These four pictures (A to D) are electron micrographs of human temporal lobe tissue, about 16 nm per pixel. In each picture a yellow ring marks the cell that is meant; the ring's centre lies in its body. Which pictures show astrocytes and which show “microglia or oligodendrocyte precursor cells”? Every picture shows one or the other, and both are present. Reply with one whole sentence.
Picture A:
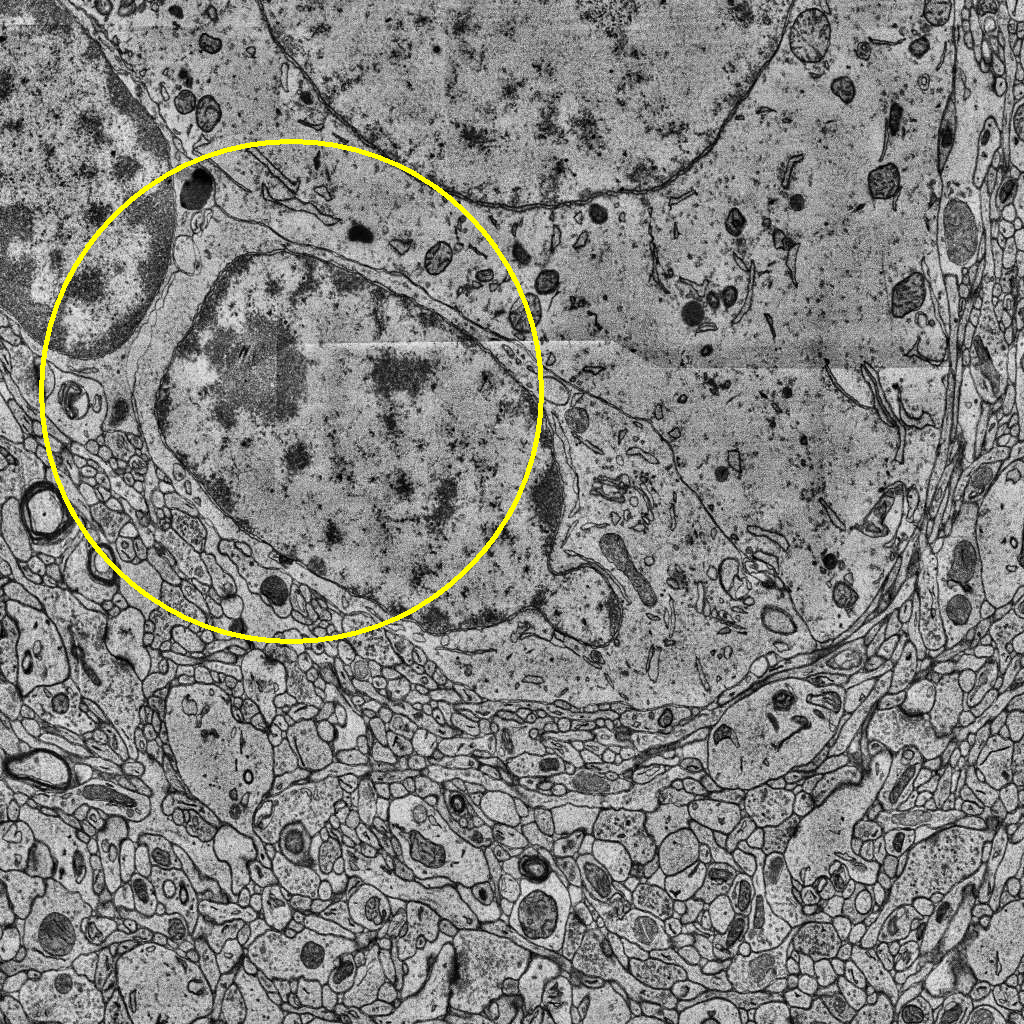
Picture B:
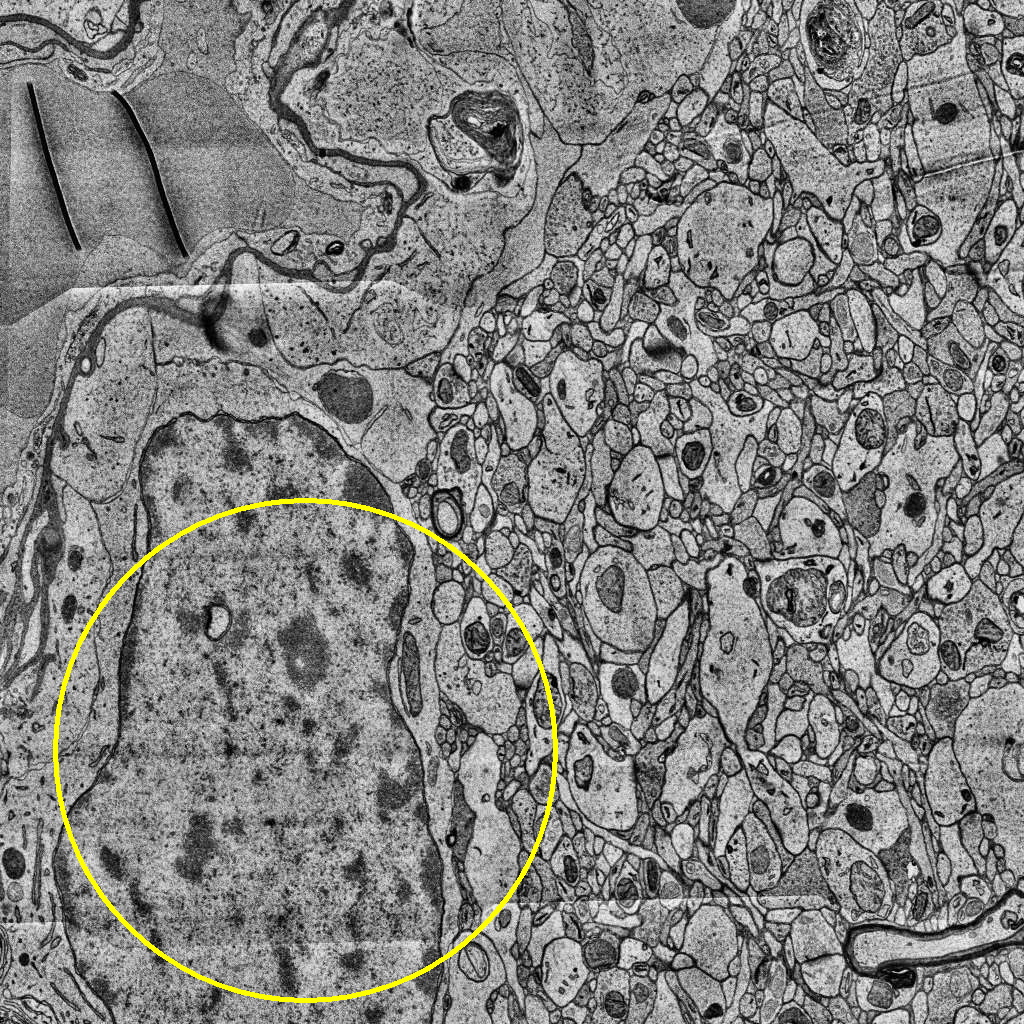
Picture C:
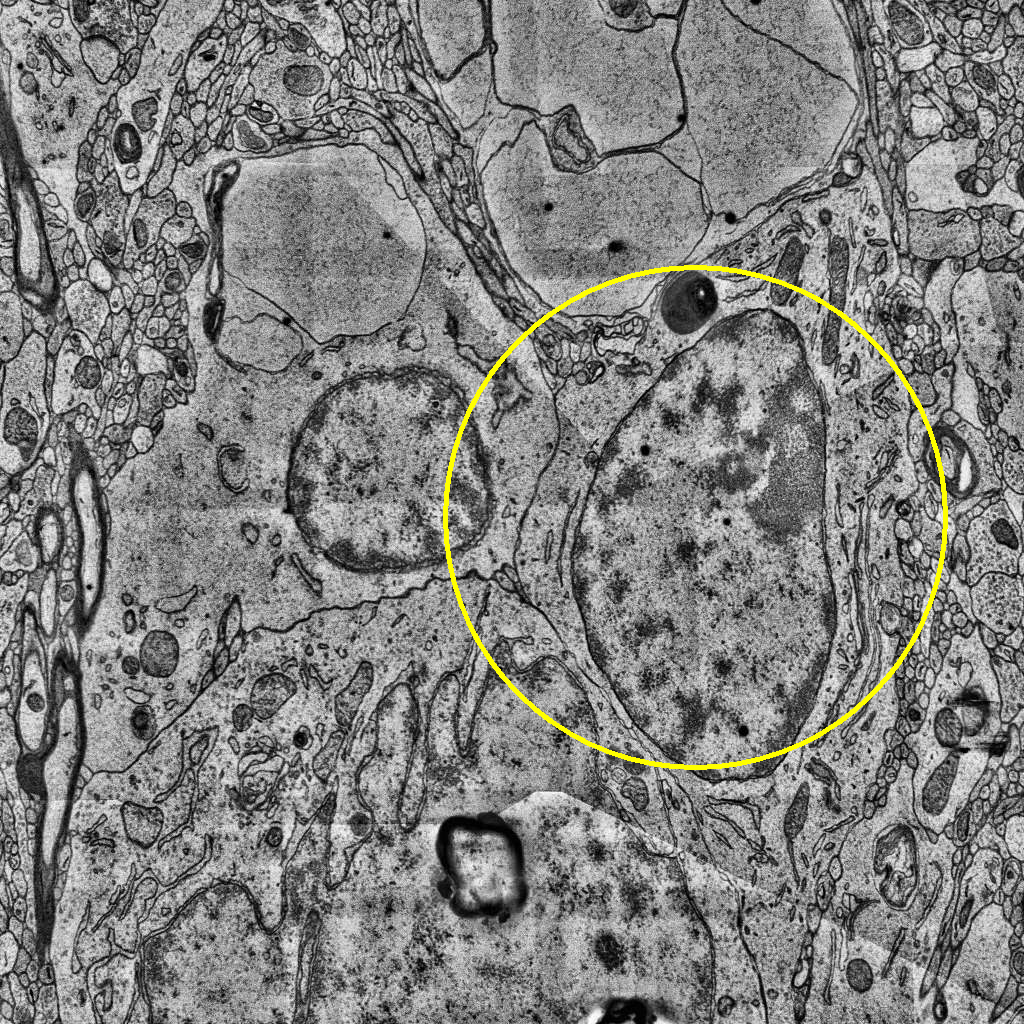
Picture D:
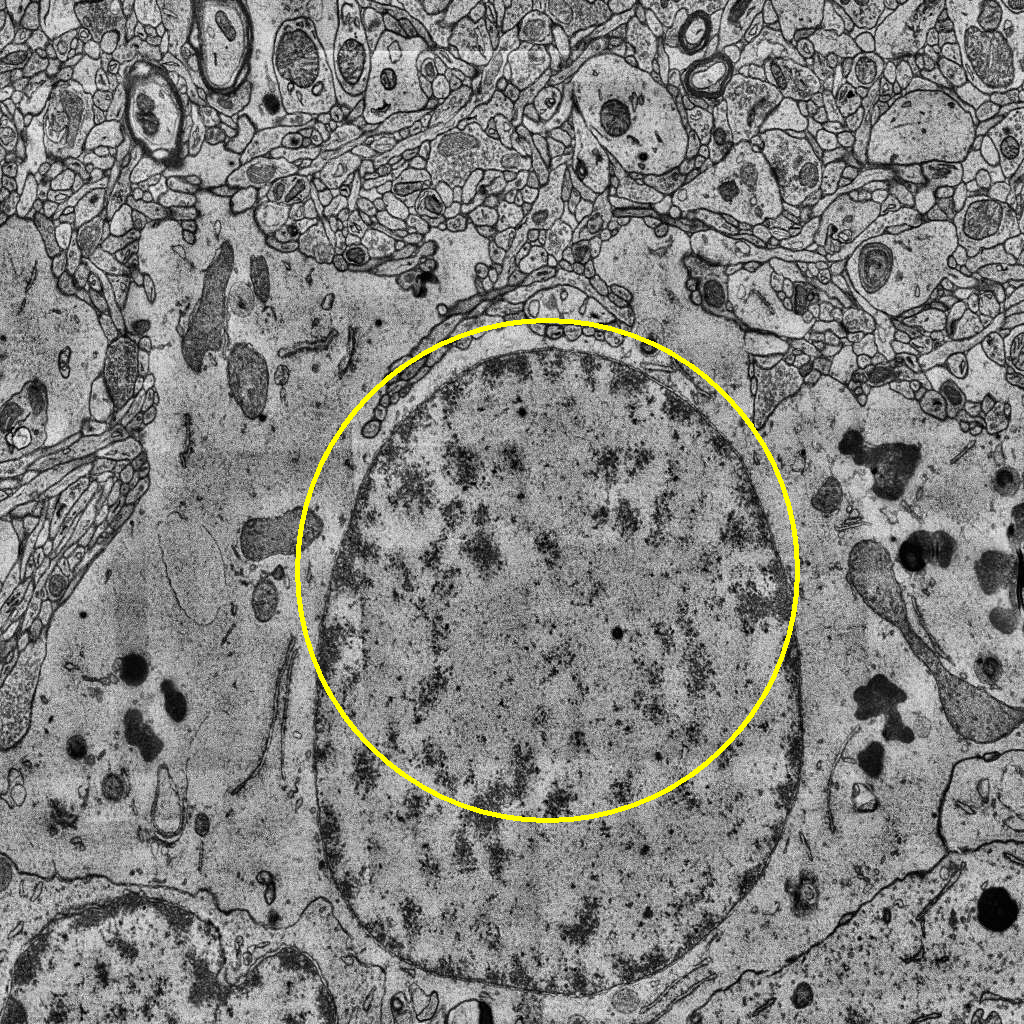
Picture D shows an astrocyte, while pictures A, B and C show “microglia or oligodendrocyte precursor cells”.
